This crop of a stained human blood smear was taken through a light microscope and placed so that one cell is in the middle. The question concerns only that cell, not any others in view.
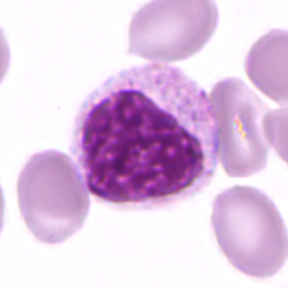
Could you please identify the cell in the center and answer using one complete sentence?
What sits at the centre of this crop is a metamyelocyte.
